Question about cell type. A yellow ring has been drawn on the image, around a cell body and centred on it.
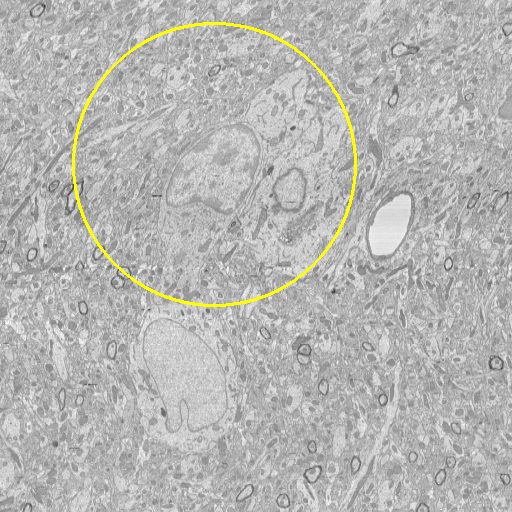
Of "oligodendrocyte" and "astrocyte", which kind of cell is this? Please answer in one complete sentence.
At the centre of the ring lies an oligodendrocyte.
